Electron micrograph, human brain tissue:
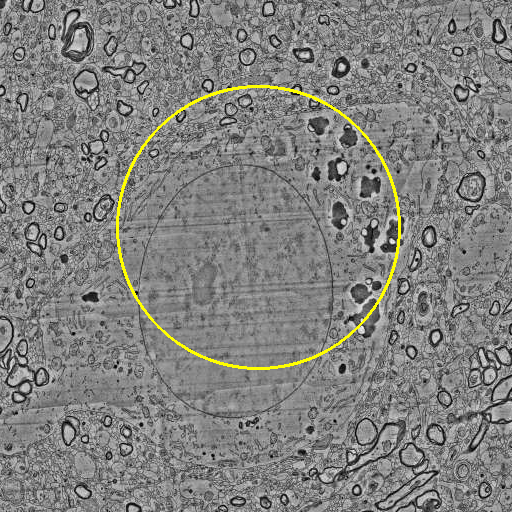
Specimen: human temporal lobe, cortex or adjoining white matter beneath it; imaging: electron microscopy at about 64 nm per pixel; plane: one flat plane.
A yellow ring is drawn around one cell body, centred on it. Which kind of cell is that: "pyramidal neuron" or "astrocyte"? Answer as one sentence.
It is a pyramidal neuron at the centre of the ring.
